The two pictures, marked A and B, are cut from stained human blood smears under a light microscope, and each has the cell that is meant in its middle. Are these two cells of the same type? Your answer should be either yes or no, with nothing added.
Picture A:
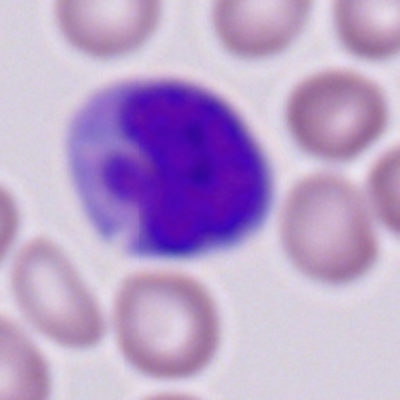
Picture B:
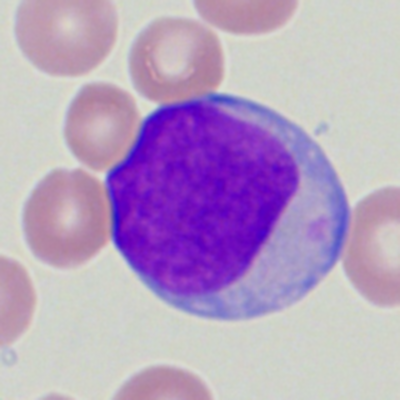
no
